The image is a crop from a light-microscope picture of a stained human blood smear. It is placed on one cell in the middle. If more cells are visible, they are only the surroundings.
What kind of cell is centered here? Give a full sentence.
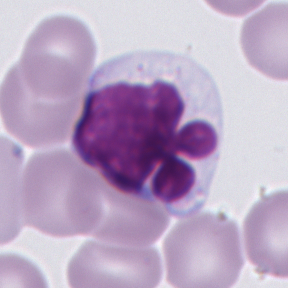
The middle of this crop is occupied by a large granular lymphocyte.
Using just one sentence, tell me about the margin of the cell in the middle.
Thanks for asking; the cell edge is smooth and has no projections.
